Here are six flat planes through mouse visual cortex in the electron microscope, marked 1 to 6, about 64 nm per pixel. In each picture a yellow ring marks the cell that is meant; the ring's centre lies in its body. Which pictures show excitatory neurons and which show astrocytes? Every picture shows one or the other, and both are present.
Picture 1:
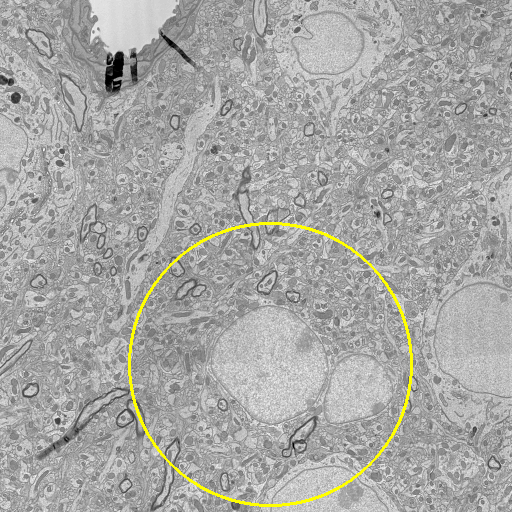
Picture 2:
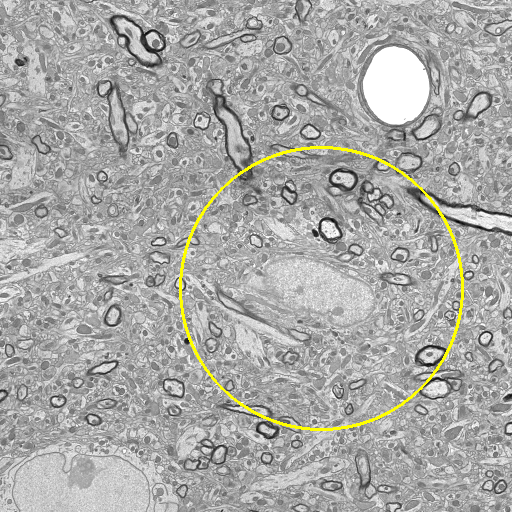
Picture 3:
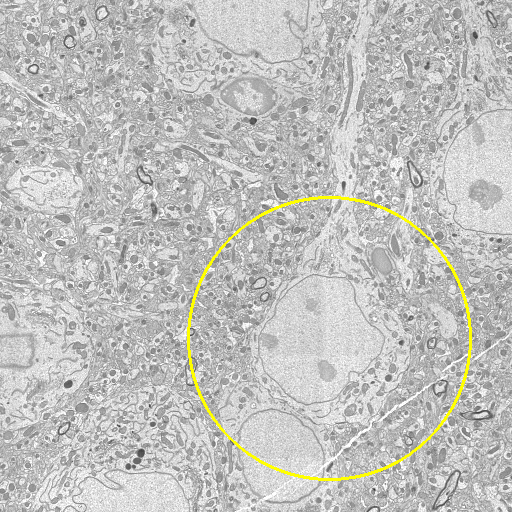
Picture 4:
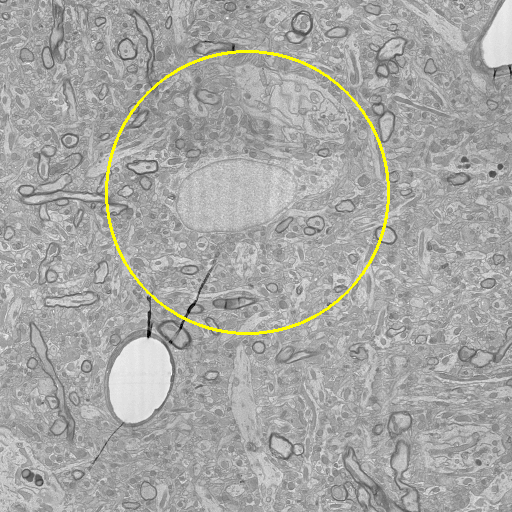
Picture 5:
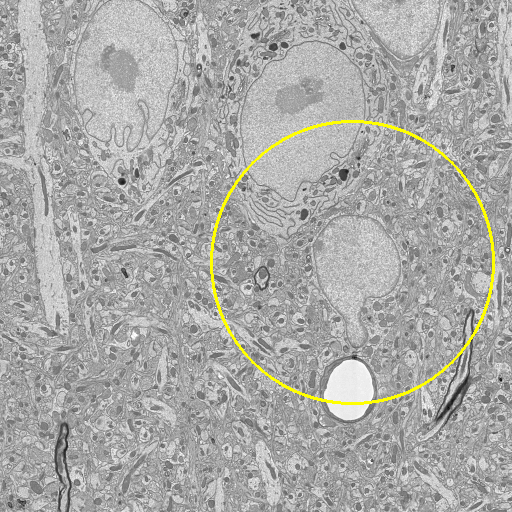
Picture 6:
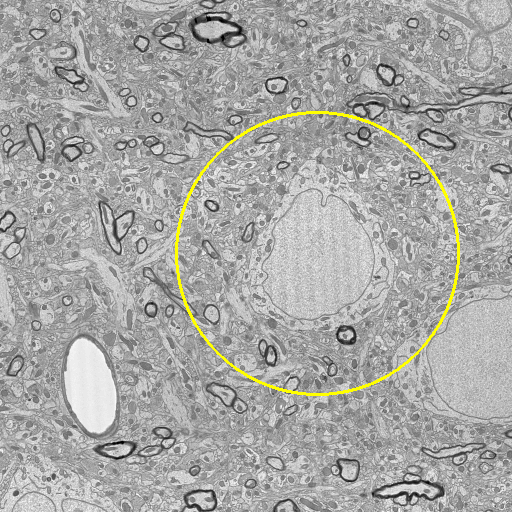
Pictures 3 and 6 show excitatory neurons, while pictures 1, 2, 4 and 5 show astrocytes.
